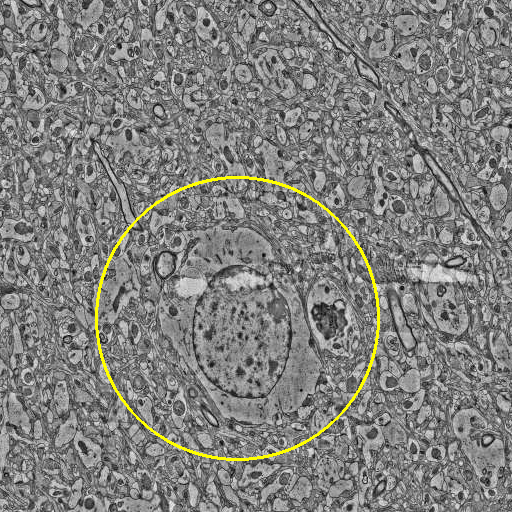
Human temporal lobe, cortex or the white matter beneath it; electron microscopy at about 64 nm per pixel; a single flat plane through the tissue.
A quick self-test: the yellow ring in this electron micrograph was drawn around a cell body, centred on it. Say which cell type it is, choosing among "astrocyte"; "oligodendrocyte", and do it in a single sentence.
The yellow-ringed cell is an astrocyte.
